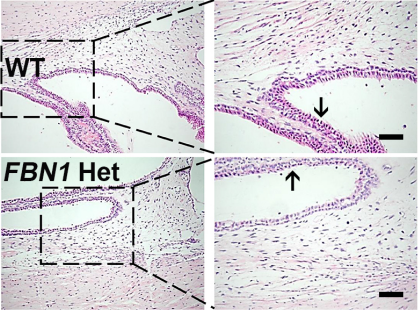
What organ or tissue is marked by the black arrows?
Nonpigmented epithelium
